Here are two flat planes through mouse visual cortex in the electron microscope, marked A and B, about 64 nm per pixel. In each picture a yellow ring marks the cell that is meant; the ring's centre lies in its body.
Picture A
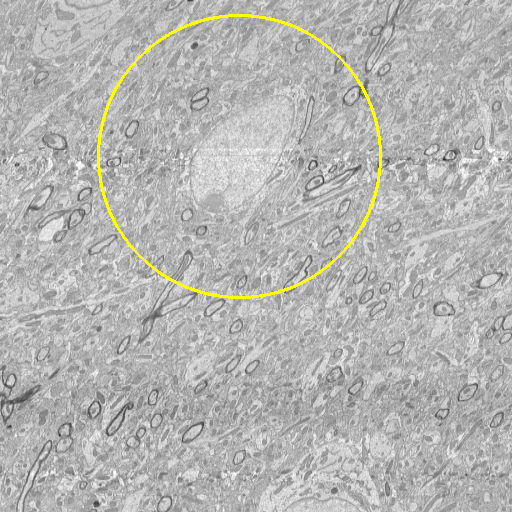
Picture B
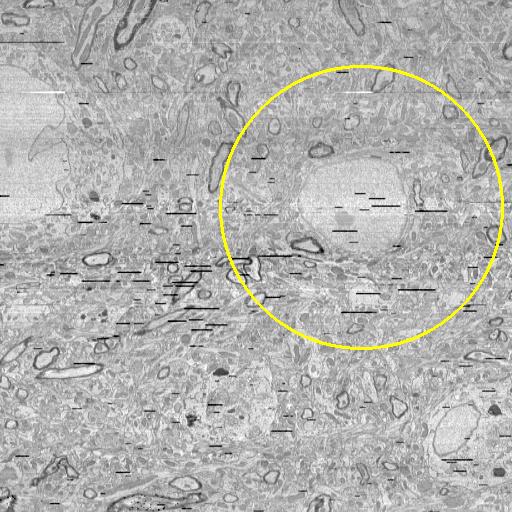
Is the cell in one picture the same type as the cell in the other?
Yes, both are astrocytes.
